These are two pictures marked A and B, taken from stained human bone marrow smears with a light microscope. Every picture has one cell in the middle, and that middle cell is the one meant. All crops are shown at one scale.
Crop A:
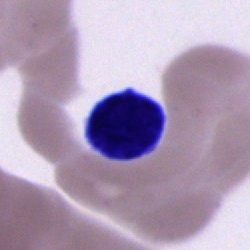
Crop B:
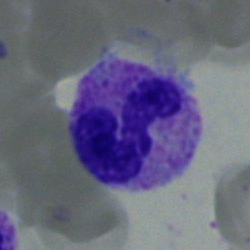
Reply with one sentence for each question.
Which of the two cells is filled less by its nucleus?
The nucleus fills less of the cell in crop B than in crop A.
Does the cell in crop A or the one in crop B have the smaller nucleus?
Smaller is the nucleus in crop A, and the other is about 1.5 times as large in area.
